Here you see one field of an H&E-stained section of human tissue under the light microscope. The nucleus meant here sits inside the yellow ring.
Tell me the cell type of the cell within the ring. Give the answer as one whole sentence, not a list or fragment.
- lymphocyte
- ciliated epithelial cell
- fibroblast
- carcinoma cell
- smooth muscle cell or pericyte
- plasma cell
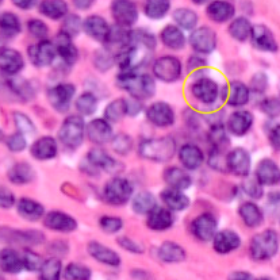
The expected answer is simply that the cell within the ring is a lymphocyte.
